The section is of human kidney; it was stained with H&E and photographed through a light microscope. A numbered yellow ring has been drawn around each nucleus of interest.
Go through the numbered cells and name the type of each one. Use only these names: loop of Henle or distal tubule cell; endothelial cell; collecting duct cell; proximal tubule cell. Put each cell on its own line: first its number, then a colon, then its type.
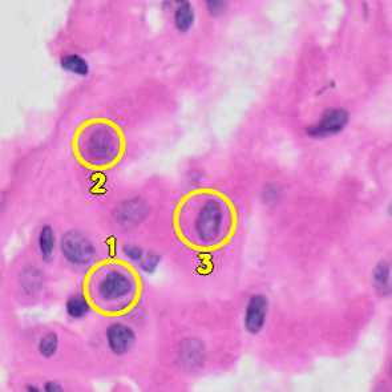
1: collecting duct cell
2: proximal tubule cell
3: proximal tubule cell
